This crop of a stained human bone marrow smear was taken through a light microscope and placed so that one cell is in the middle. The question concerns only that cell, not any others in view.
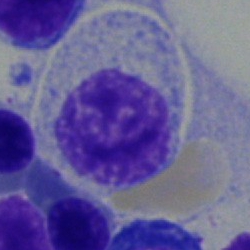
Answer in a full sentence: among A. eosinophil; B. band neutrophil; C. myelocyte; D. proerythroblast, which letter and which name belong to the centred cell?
Option C holds, for the cell in the middle is a myelocyte.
